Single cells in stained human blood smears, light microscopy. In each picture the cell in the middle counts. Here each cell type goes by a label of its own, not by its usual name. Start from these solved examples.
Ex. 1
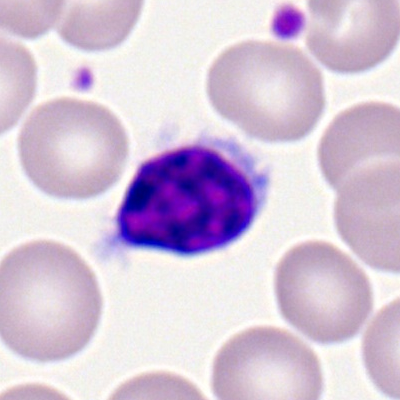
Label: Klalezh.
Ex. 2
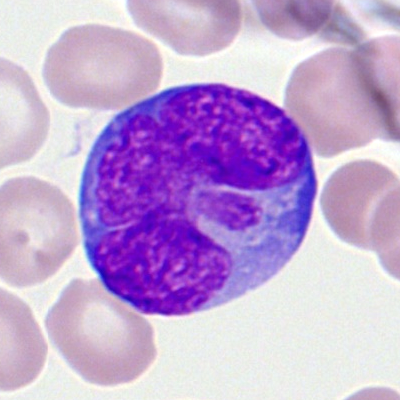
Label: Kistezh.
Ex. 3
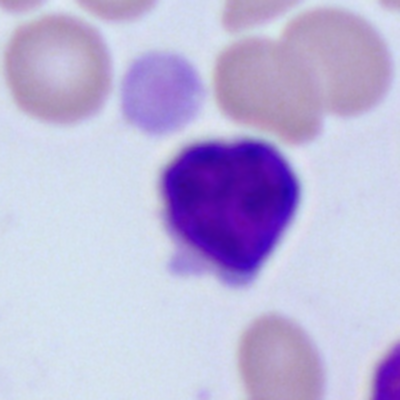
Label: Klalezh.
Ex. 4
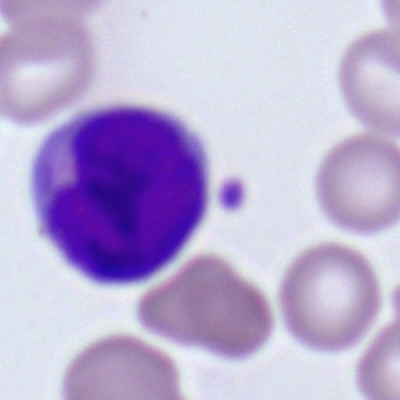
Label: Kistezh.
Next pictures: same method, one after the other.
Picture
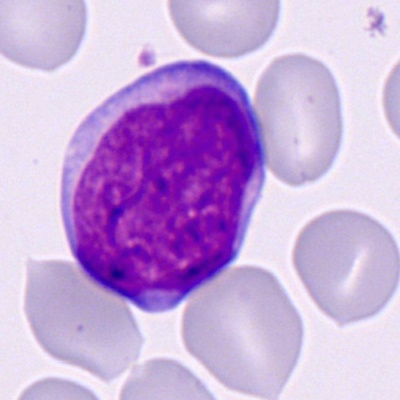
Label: Kistezh.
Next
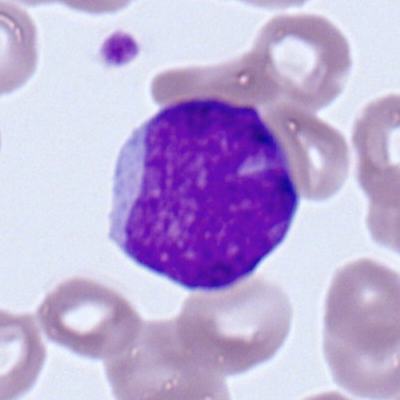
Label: Kistezh.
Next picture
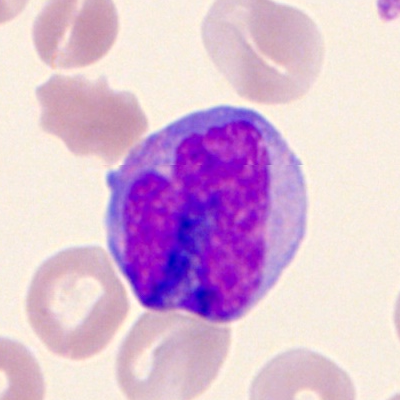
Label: Kistezh.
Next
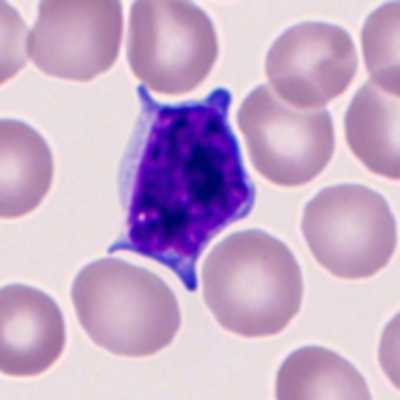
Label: Klalezh.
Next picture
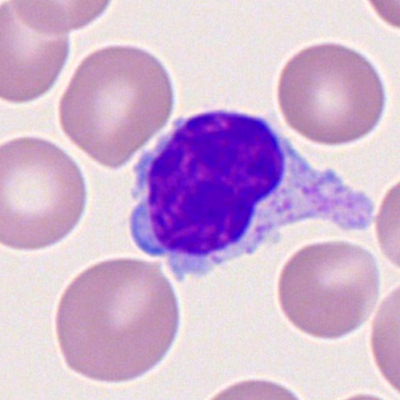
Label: Klalezh.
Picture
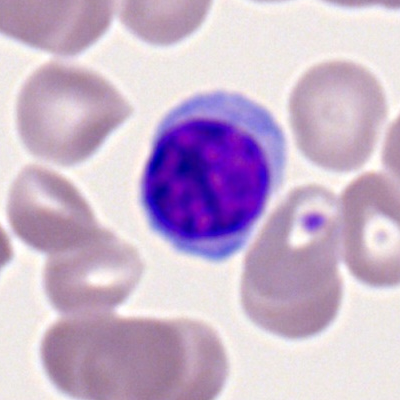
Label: Klalezh.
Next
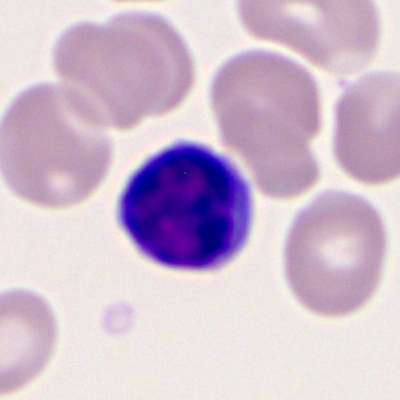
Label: Klalezh.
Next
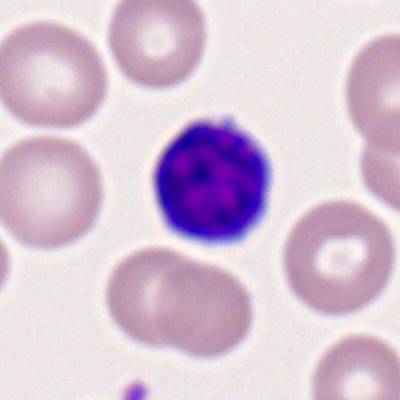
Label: Klalezh.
